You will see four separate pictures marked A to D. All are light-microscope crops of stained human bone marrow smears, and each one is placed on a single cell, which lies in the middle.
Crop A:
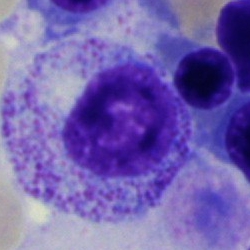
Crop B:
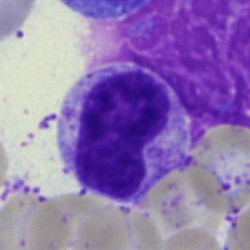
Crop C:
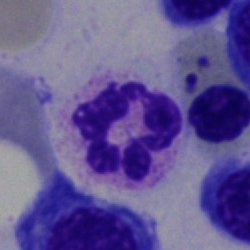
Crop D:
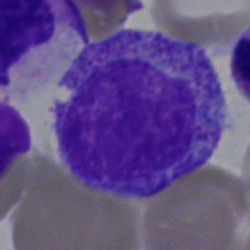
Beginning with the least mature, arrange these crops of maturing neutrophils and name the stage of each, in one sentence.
The right order here, from least to most mature, is crop D (a promyelocyte), crop A (a myelocyte), crop B (a metamyelocyte) and crop C (a segmented neutrophil).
